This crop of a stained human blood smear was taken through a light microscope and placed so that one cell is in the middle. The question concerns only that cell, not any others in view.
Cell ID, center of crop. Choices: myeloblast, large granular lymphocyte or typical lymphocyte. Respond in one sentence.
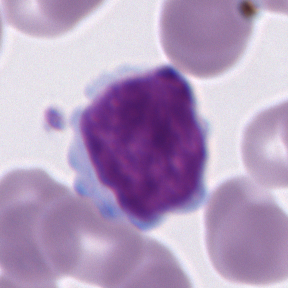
By classification, the middle cell of this crop is a typical lymphocyte.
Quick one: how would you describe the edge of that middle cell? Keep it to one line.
Around its circumference, the cell has an uneven edge, ragged or projecting in places.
